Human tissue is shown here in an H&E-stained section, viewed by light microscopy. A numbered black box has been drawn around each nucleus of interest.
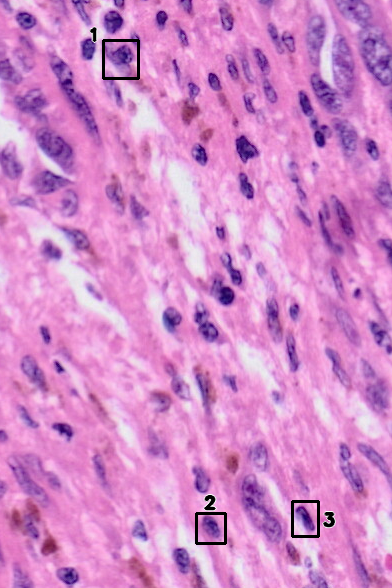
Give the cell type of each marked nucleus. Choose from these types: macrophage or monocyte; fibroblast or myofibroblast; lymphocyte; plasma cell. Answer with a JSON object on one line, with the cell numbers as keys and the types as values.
{"1": "plasma cell", "2": "lymphocyte", "3": "lymphocyte"}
